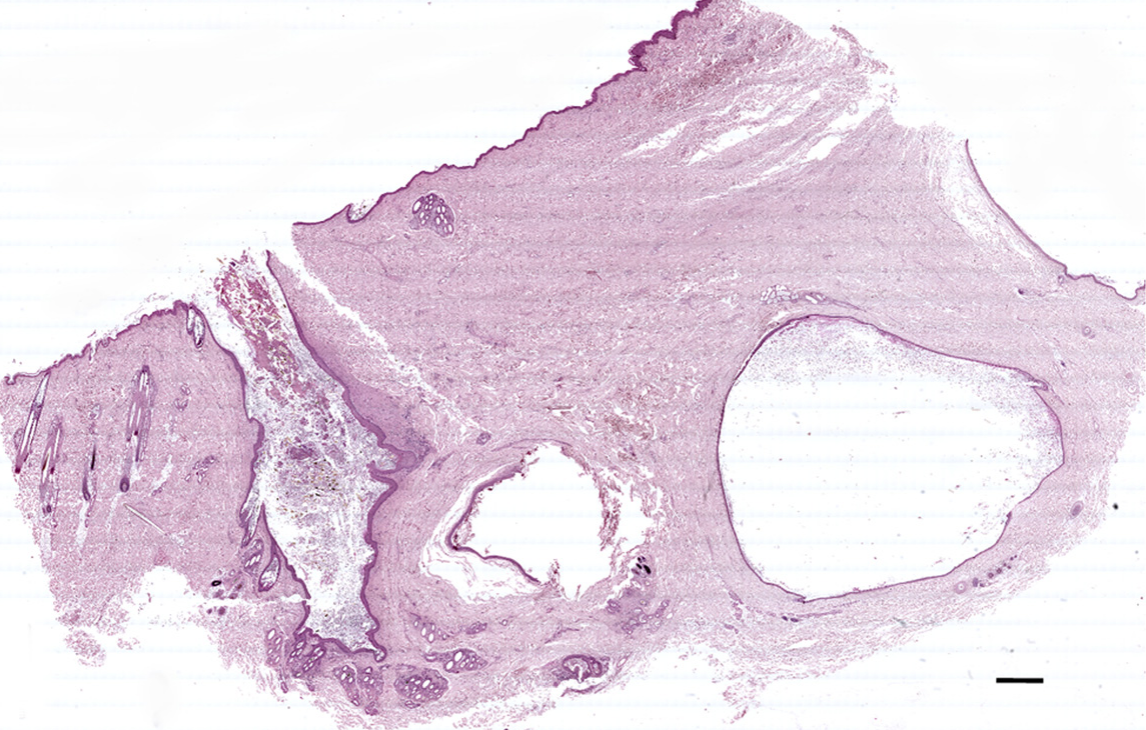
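This low-power section of haired skin and subcutis shows a dermoid sinus. On the left, an epidermis-lined tract opens at the skin surface and runs deep into the dermis. Its pale lumen holds loose debris and brown hair fragments. Hair follicles and glandular adnexal units cluster around the tract. To the right, two rounded cysts lie deep in dense pink collagenous dermis. A thin purple epithelium lines each cyst. The larger cyst on the right is largely empty. The dermis above the cysts is dense and has few or no adnexa, and the overlying epidermis is a thin purple line.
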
